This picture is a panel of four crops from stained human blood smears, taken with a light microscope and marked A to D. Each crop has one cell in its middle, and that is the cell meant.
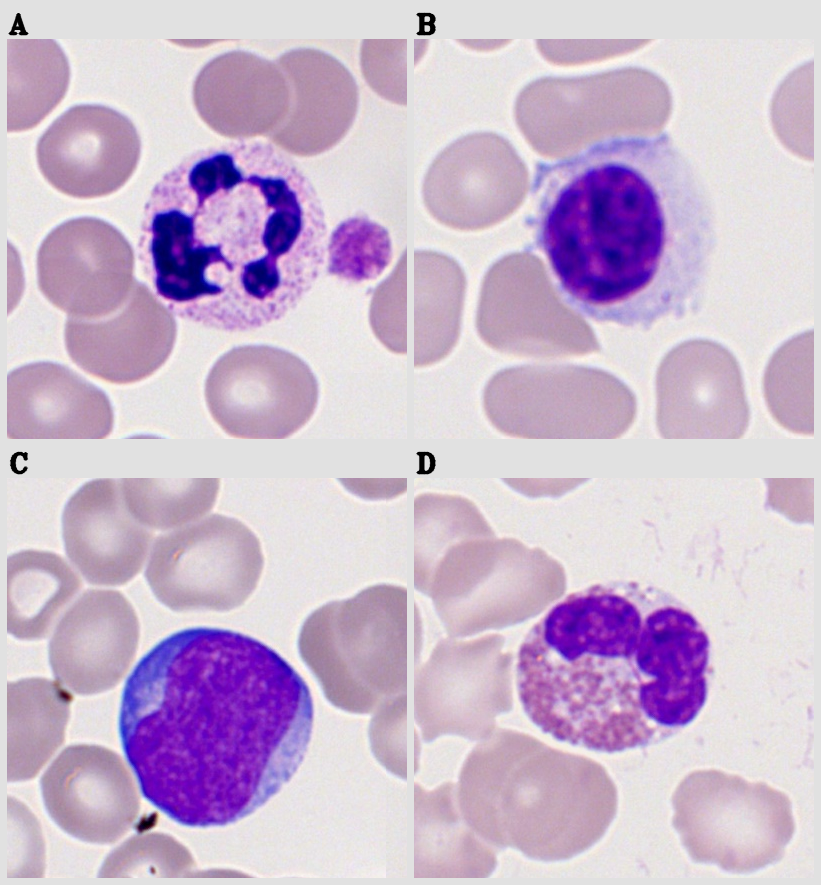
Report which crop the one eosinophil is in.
D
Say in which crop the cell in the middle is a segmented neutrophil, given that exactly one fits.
A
